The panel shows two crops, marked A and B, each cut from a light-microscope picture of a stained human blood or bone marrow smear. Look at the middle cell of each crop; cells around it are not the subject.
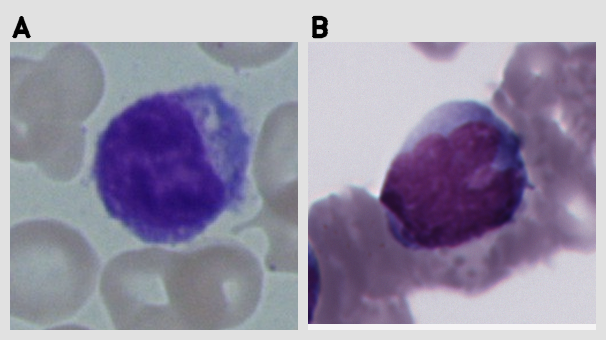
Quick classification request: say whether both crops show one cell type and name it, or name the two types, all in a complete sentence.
Yes, both crops show blasts in the middle.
